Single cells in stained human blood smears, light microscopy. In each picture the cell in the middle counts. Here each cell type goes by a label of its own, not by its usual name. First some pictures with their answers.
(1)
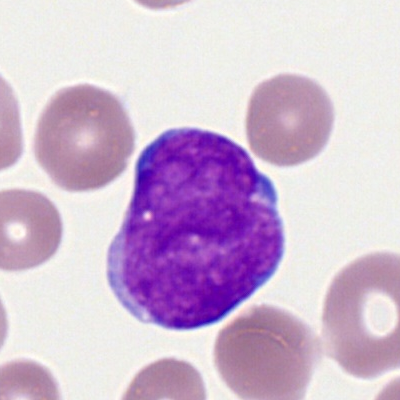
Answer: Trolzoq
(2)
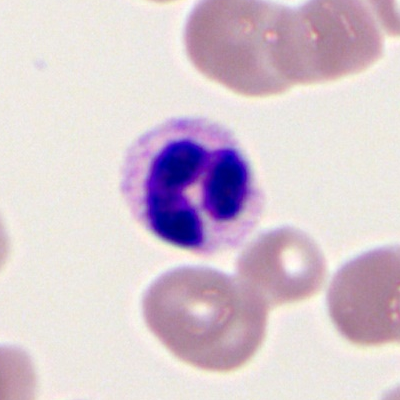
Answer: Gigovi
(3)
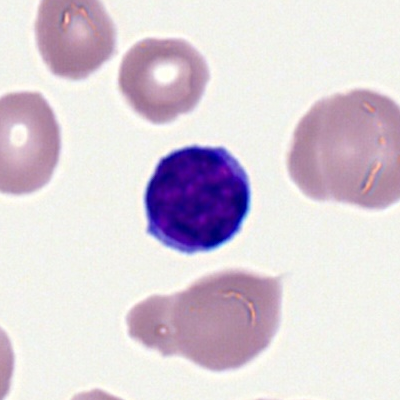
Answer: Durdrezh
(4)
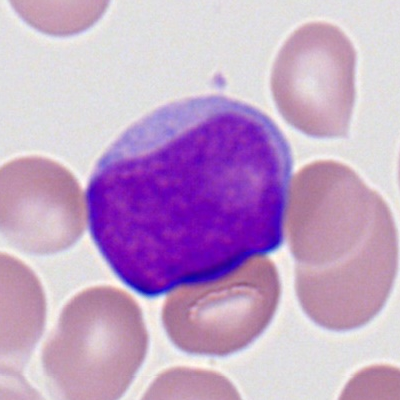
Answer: Trolzoq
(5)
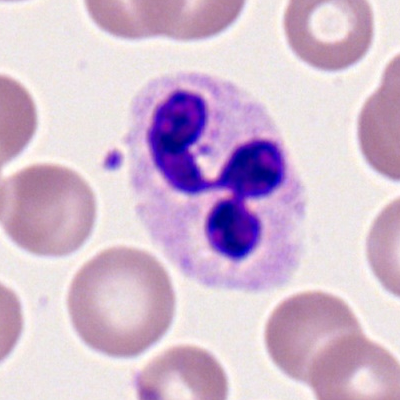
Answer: Gigovi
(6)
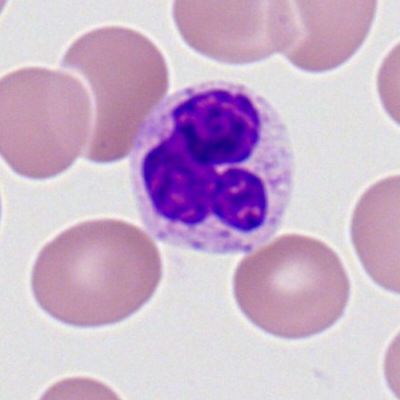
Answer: Gigovi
